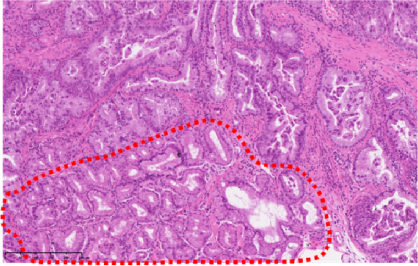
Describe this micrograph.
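Here non-tumor glands lie right against the tumor: in the lower part small, regular, evenly spaced glands with round open lumens and pale pink cytoplasm are packed together. Around them the tumor forms larger, irregular glands whose cells have crowded, darker nuclei, separated by pink stroma.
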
